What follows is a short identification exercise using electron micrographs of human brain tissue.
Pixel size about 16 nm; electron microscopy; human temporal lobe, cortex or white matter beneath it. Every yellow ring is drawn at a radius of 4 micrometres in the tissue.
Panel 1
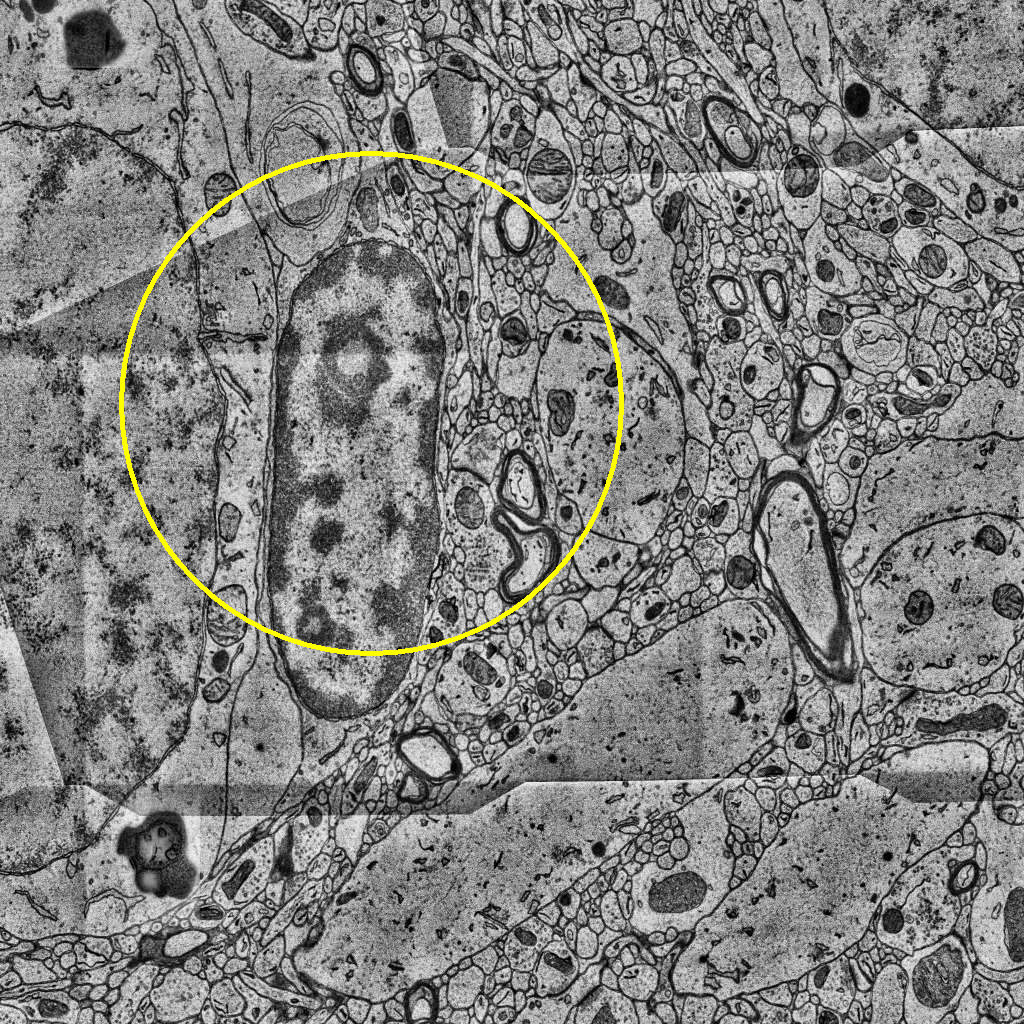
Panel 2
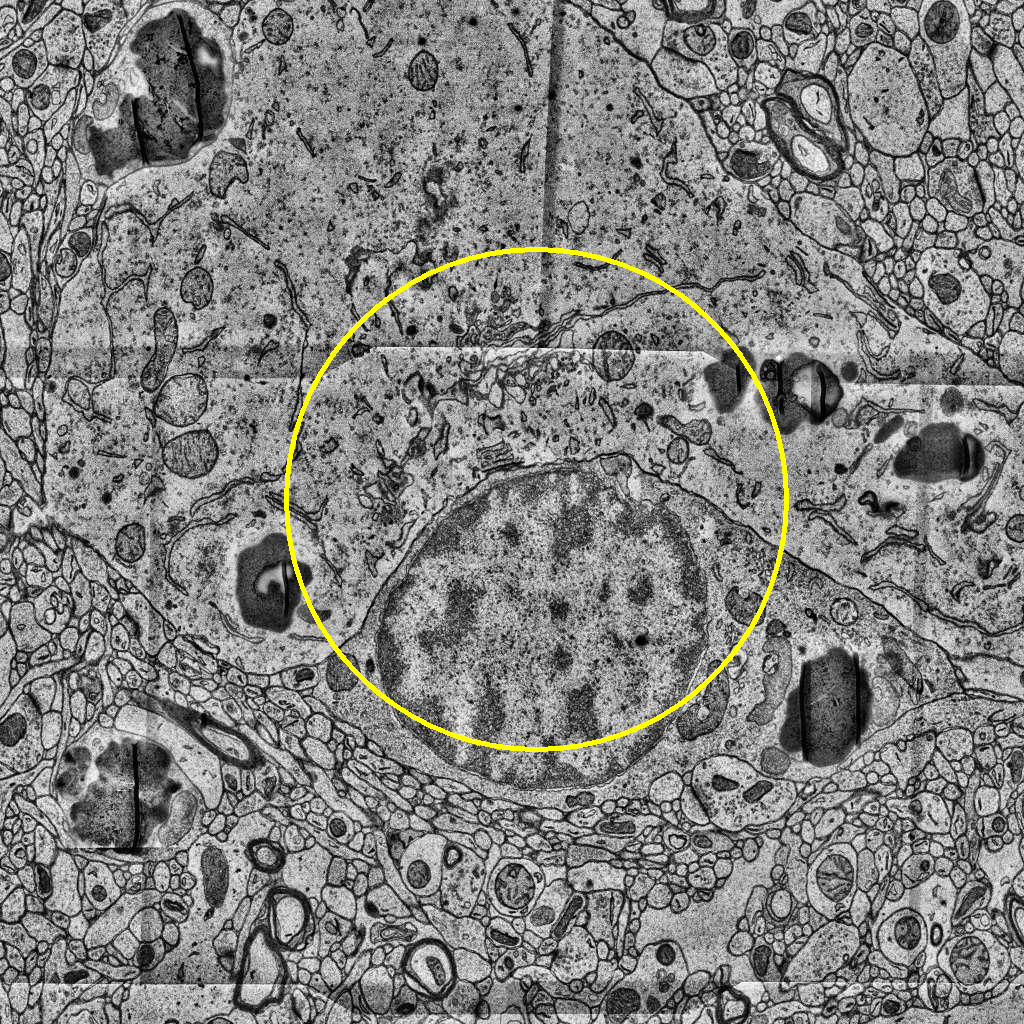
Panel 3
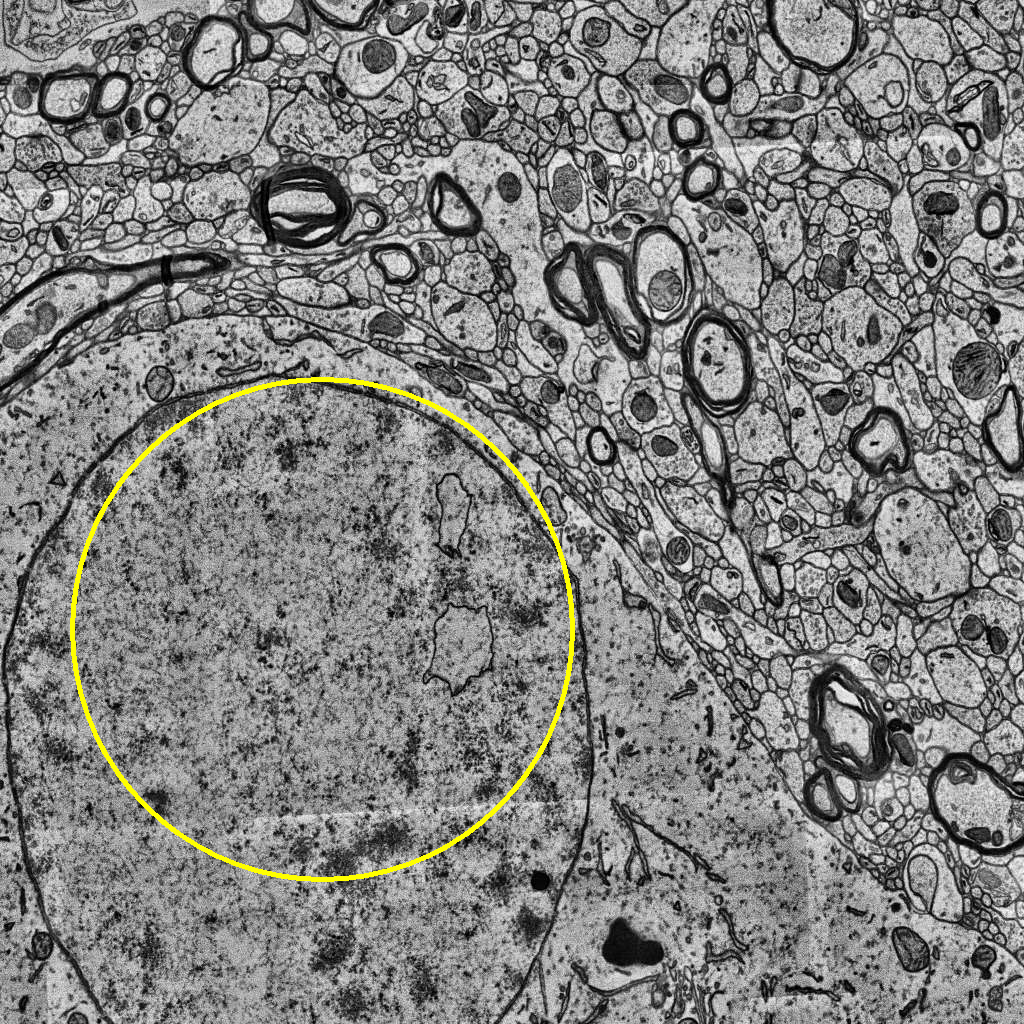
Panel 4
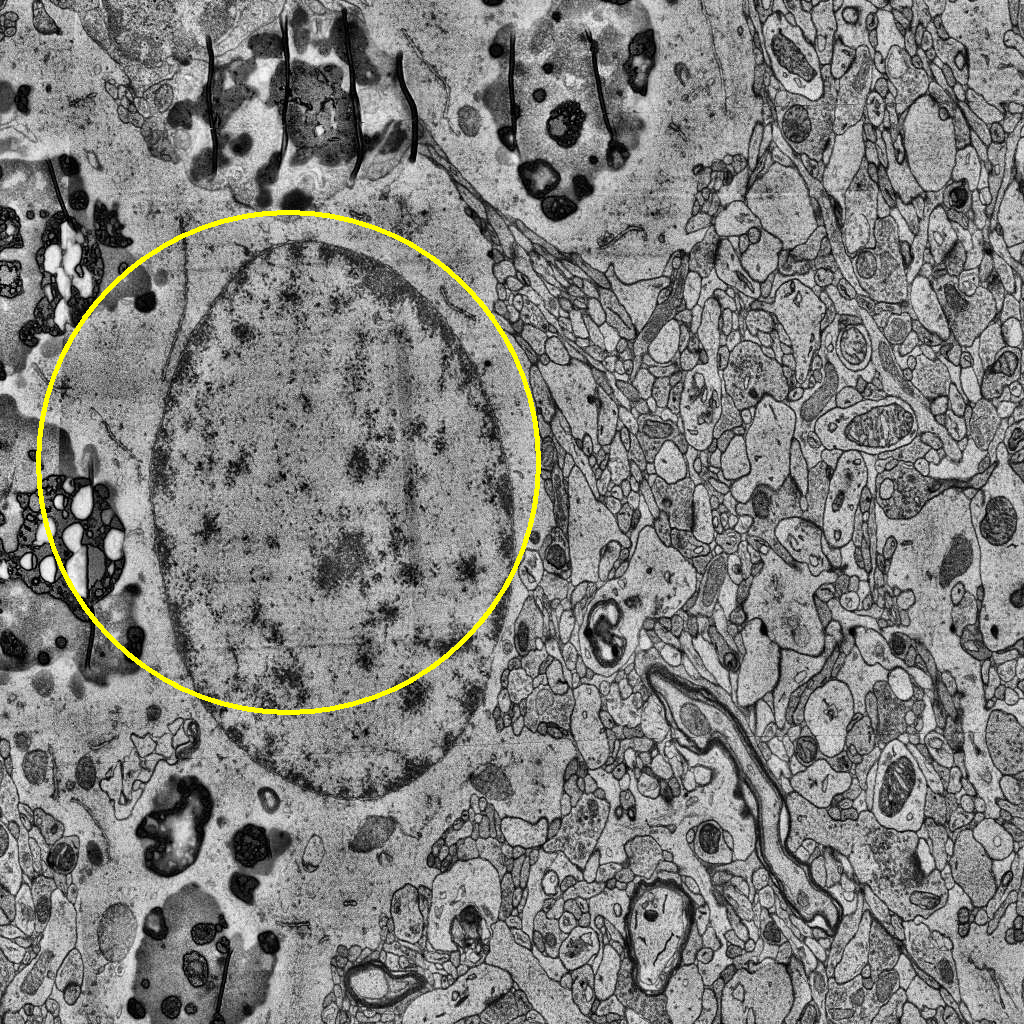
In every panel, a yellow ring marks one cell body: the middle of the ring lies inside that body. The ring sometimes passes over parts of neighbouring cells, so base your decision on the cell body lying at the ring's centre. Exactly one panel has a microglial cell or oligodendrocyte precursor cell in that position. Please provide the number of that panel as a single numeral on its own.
1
